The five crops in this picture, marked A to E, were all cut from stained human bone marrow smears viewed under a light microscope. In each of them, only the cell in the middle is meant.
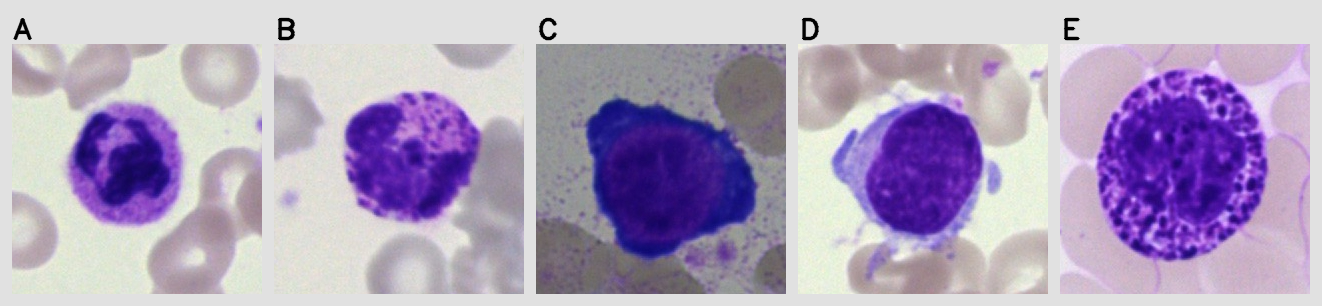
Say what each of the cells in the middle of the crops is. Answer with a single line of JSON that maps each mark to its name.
{"A": "segmented neutrophil", "B": "basophil", "C": "proerythroblast", "D": "hairy cell", "E": "basophil"}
